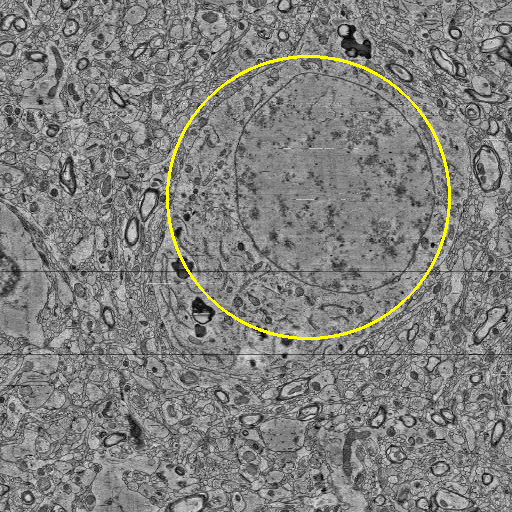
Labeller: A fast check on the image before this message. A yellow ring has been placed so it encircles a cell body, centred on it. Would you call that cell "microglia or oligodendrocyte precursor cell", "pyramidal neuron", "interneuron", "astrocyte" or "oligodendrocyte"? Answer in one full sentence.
In this image, a pyramidal neuron is the cell on which the yellow ring is centred.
